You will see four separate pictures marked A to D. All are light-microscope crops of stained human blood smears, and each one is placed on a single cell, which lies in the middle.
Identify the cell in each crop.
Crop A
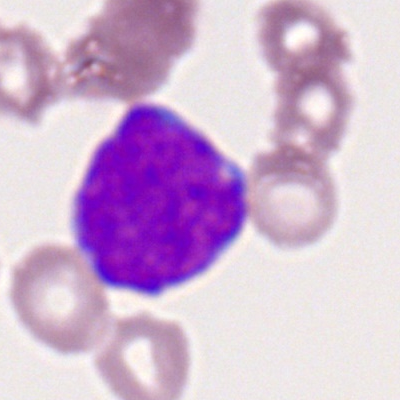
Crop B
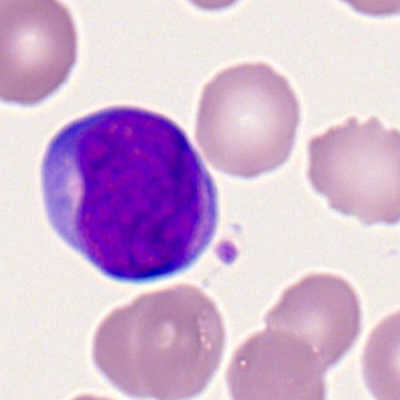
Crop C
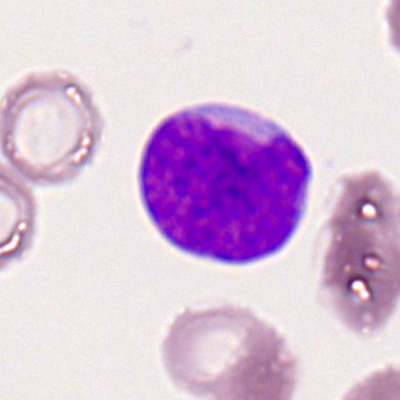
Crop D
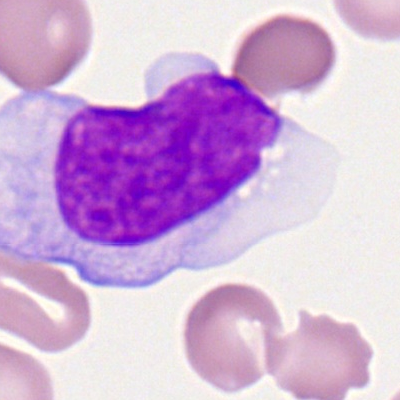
A: myeloblast
B: myeloblast
C: myeloblast
D: monocyte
